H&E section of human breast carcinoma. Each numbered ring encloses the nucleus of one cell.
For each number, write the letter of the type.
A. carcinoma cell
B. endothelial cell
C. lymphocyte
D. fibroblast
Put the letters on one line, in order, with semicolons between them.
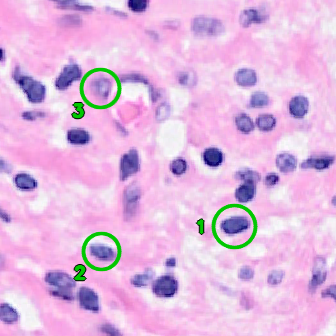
C; C; B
